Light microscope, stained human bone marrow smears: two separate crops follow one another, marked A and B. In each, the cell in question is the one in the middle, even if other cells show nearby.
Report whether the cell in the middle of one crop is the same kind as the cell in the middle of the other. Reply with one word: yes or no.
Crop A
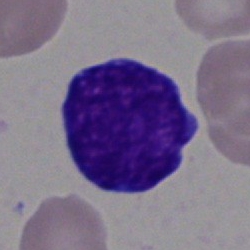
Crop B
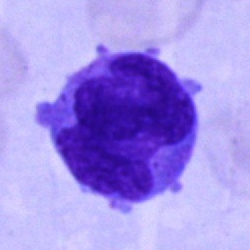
no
